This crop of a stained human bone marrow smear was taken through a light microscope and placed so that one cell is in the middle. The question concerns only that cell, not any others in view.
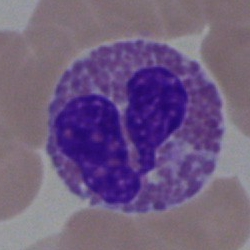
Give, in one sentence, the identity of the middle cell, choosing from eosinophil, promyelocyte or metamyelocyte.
The cell shown in the center of this light-microscope crop is an eosinophil.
